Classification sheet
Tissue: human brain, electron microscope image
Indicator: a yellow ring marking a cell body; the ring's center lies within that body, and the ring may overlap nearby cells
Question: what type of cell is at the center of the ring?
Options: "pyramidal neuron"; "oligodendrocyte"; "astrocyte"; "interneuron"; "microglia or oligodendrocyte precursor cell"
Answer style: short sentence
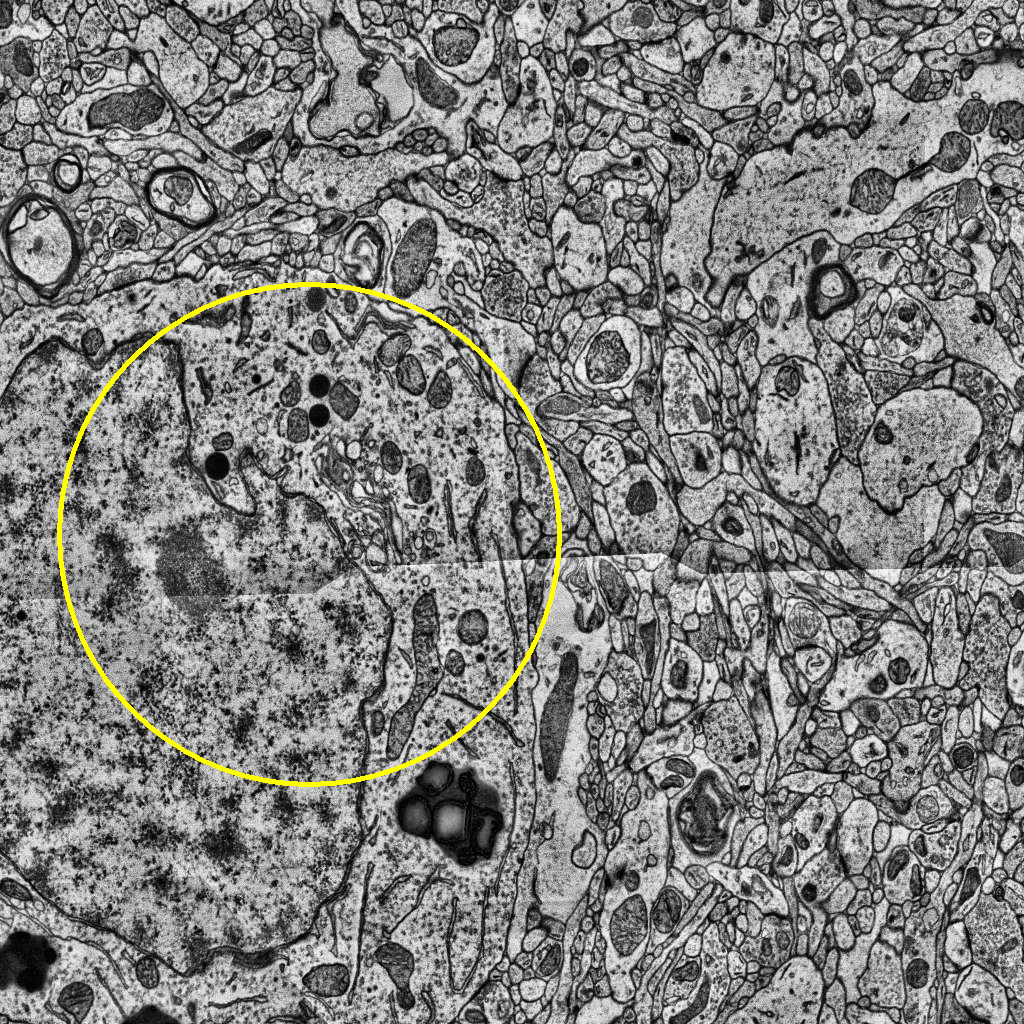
At the ring's center is an interneuron.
